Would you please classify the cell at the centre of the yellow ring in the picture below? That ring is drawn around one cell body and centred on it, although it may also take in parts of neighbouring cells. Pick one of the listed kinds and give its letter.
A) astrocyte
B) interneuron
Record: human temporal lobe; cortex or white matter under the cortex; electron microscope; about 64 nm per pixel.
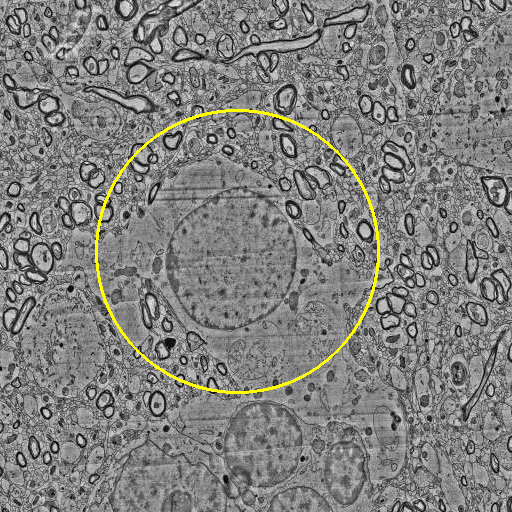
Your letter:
A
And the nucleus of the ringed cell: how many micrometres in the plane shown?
The ringed cell's nucleus is about 9 micrometres across in this plane.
